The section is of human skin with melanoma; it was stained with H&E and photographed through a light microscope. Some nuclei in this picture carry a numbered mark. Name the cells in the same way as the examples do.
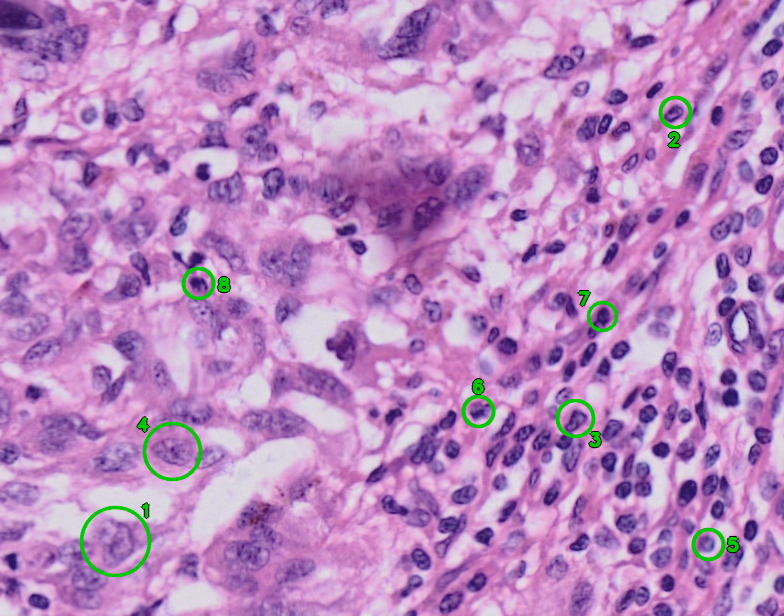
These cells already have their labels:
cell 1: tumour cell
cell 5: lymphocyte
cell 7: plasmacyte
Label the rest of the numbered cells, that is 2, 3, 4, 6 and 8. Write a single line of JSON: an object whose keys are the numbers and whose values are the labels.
{"2": "lymphocyte", "3": "lymphocyte", "4": "tumour cell", "6": "lymphocyte", "8": "lymphocyte"}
